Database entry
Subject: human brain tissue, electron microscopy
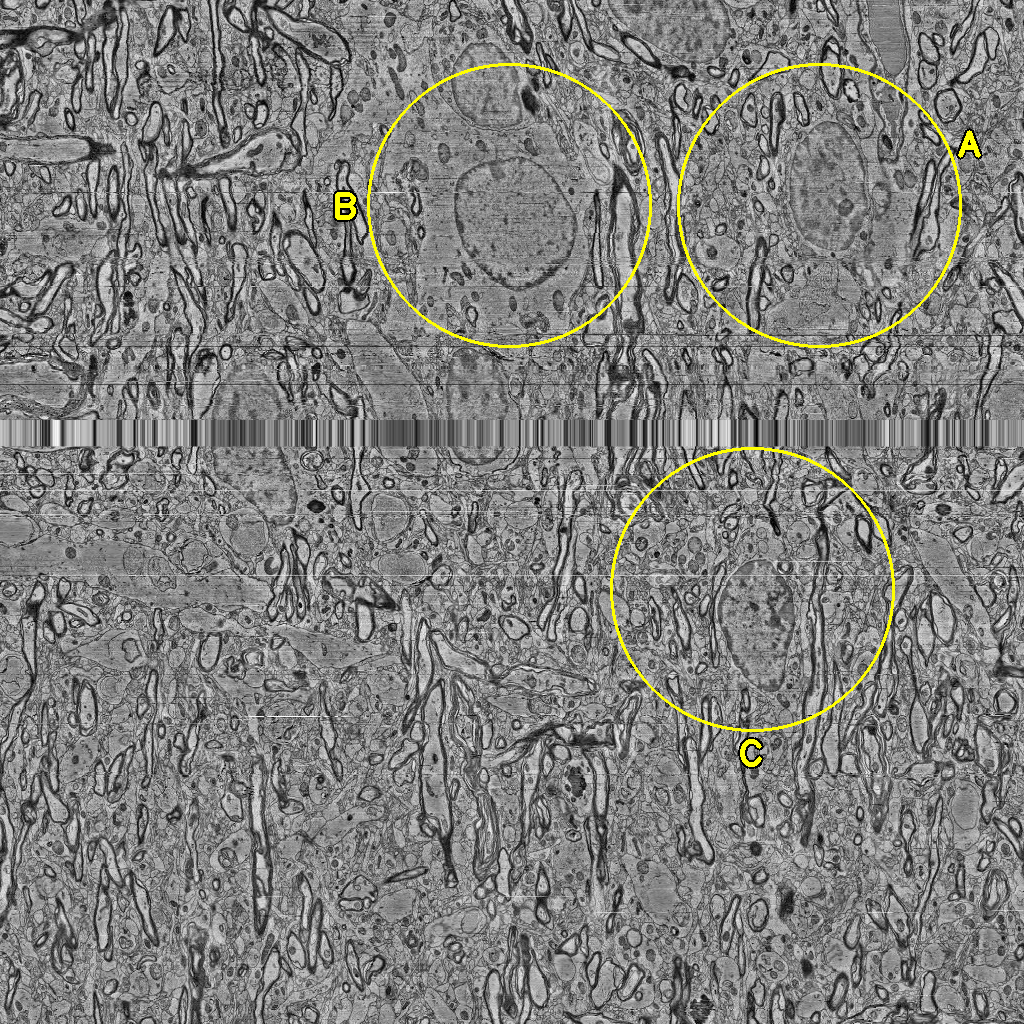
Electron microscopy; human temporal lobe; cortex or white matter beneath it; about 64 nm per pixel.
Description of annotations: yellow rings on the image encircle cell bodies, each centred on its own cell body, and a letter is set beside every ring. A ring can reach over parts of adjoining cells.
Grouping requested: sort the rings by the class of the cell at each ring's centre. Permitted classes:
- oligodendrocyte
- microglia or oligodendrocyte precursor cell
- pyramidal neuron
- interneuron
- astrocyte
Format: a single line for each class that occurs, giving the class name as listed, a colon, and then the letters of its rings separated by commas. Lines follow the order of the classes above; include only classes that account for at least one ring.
oligodendrocyte: A
microglia or oligodendrocyte precursor cell: C
astrocyte: B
